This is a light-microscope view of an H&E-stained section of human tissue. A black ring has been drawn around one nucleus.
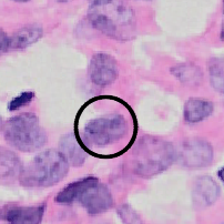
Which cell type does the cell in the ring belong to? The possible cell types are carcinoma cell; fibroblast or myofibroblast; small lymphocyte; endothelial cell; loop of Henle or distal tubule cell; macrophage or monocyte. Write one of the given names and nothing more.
carcinoma cell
